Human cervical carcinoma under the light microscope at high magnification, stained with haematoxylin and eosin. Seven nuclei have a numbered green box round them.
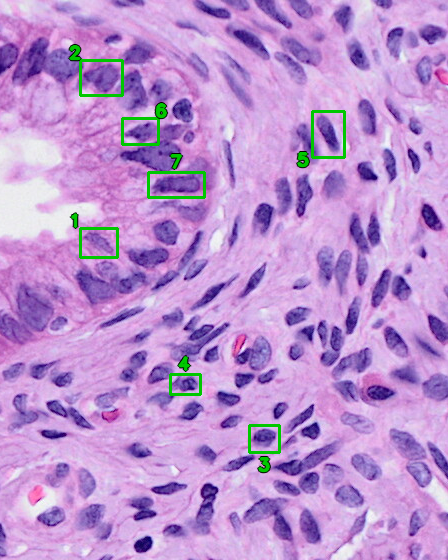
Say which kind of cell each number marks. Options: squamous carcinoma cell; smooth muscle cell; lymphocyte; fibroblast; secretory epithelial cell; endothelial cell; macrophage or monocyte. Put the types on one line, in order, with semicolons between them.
secretory epithelial cell; secretory epithelial cell; fibroblast; fibroblast; fibroblast; secretory epithelial cell; secretory epithelial cell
